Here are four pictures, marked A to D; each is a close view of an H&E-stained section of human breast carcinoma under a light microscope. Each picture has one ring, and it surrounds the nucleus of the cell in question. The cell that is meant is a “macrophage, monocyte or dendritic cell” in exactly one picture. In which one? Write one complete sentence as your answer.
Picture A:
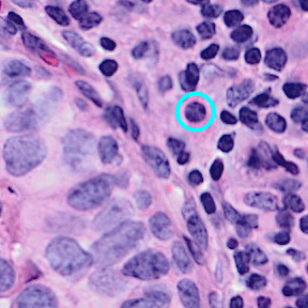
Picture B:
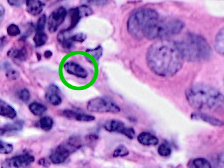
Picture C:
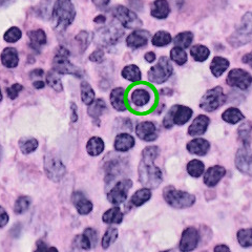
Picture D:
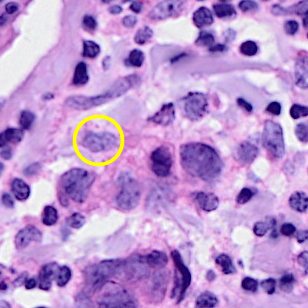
The picture with the “macrophage, monocyte or dendritic cell” is D.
